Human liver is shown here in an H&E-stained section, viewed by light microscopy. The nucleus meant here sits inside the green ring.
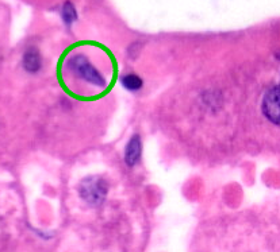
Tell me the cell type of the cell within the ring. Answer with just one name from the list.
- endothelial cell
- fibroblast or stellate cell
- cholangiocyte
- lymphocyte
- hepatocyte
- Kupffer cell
fibroblast or stellate cell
